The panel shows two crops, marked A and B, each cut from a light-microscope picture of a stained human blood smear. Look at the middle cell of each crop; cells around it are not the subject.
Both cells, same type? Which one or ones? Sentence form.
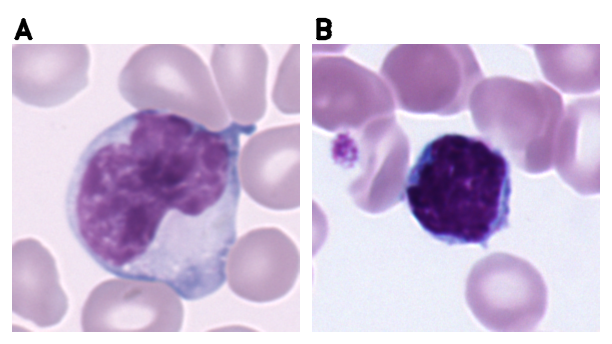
No, a myeloblast lies at the centre of crop A, and a typical lymphocyte lies at the centre of crop B.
